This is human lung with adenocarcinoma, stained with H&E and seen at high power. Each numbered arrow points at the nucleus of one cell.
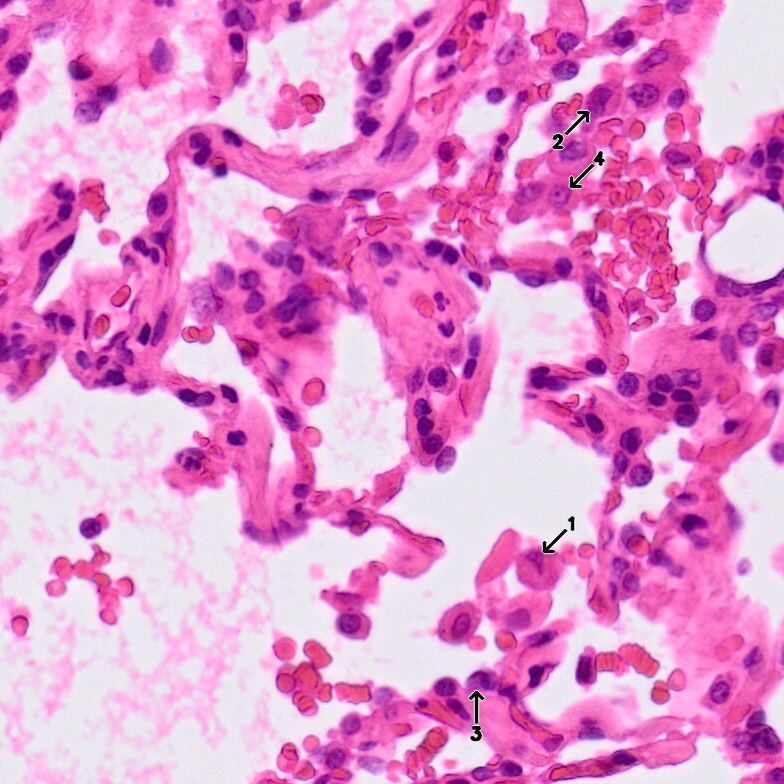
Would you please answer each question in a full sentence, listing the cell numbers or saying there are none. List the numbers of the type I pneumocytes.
Only the cell with number 3 is a type I pneumocyte.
